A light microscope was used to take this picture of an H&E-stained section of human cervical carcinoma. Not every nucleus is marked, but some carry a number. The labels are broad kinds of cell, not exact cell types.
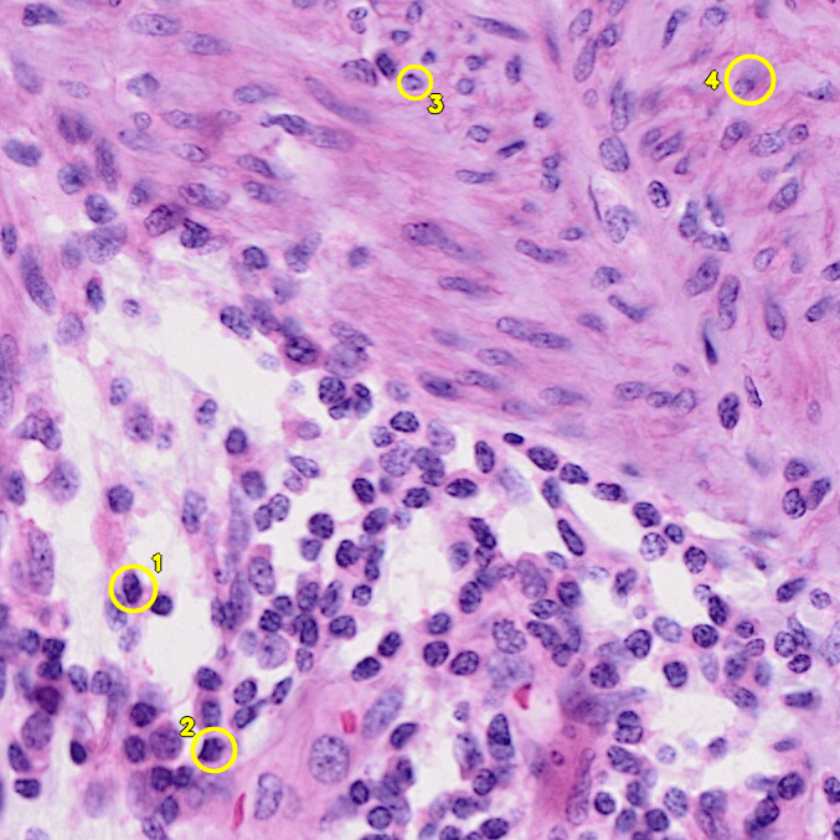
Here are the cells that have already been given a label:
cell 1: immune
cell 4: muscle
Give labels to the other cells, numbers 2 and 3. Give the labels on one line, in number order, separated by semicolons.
immune; muscle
